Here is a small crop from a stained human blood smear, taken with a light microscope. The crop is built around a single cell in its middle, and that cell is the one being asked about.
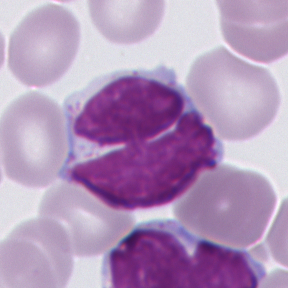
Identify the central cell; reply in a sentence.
The cell featured at the centre of this crop is a large granular lymphocyte.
